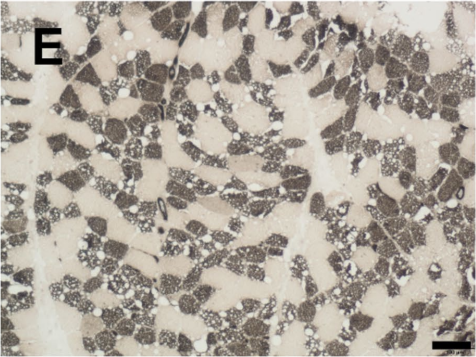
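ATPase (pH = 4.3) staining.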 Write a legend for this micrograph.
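This is a cross-section of skeletal muscle in which dark and pale muscle fibers are intermixed in a checkerboard-like mosaic. The fibers are polygonal and vary in size, separated by thin pale seams of connective tissue. The dark fibers are densely peppered with small round clear holes, giving them a sieve-like, vacuolated look. The pale fibers are more uniform and show far fewer such holes. Larger round empty spaces are also scattered among the fibers.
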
